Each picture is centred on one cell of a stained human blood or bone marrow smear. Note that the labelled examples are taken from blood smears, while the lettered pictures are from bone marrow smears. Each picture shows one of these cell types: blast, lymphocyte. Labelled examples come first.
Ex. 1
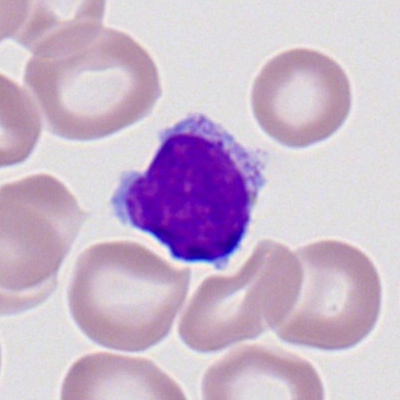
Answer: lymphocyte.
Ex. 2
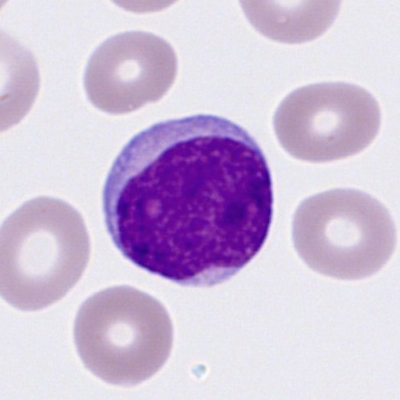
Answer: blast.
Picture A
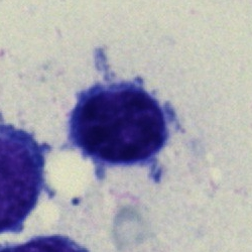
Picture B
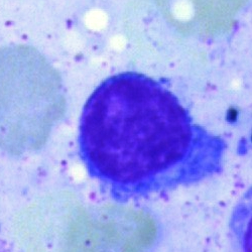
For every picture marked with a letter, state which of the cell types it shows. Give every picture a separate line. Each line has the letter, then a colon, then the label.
A: lymphocyte.
B: lymphocyte.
